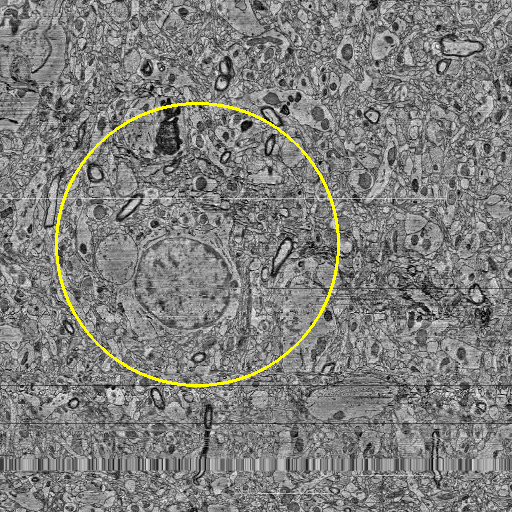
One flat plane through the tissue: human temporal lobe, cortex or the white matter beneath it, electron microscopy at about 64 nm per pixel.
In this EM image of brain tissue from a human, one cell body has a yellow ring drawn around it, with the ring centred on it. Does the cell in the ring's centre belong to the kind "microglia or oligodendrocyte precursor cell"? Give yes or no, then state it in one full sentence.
Yes, in the picture, the cell centred in the yellow ring belongs to that kind.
